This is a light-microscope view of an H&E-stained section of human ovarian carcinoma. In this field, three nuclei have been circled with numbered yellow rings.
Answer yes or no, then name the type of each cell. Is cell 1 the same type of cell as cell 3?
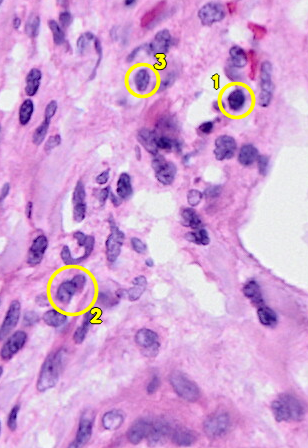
Yes, both are lymphocytes.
